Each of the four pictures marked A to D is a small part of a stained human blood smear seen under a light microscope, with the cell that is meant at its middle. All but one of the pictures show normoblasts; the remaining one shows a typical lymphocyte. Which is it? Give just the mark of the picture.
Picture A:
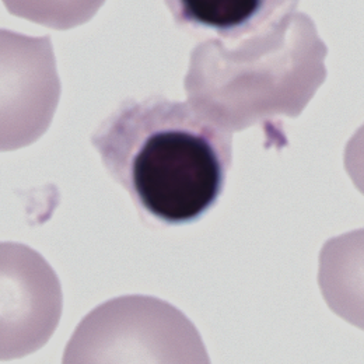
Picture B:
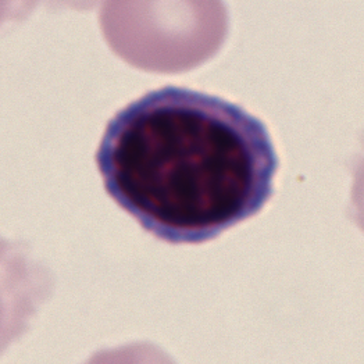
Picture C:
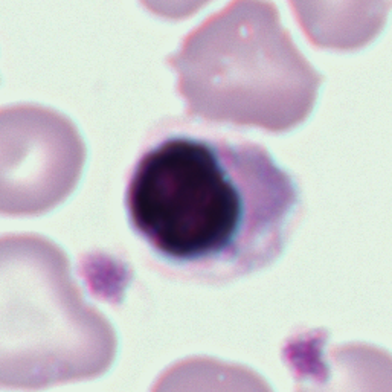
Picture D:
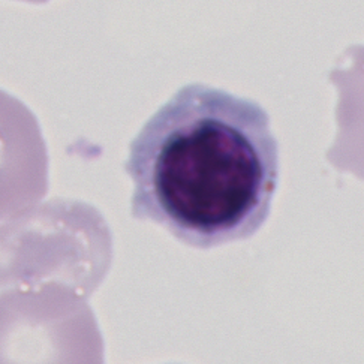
B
